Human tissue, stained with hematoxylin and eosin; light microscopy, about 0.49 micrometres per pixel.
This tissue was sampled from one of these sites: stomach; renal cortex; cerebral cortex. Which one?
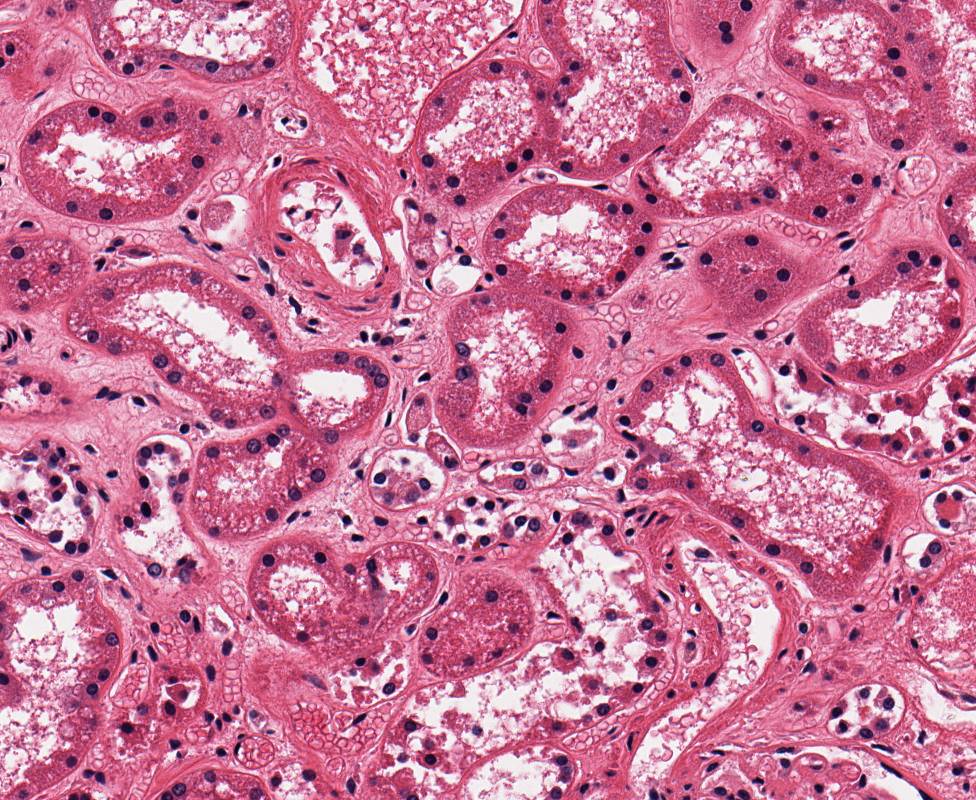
renal cortex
